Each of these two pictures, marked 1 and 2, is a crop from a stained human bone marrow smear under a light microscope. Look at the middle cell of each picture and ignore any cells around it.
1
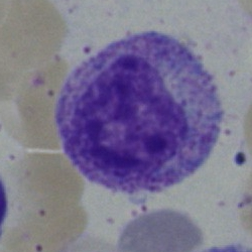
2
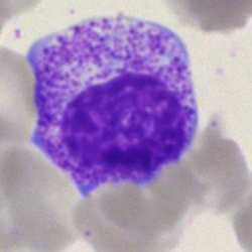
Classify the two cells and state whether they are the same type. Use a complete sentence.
Yes, myelocytes are centred in both crops.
